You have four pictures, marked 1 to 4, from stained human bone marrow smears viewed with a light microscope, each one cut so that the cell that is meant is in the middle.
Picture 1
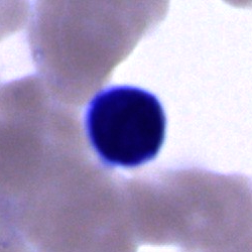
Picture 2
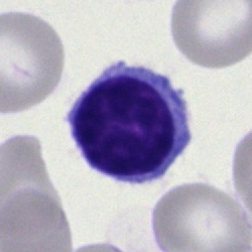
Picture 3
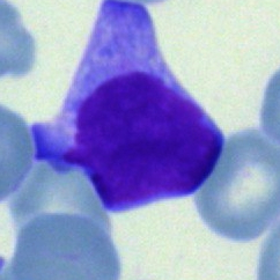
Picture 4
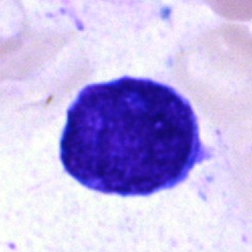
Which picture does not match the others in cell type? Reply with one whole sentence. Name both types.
Picture 4 differs, because its cell is a blast and the rest are lymphocytes.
